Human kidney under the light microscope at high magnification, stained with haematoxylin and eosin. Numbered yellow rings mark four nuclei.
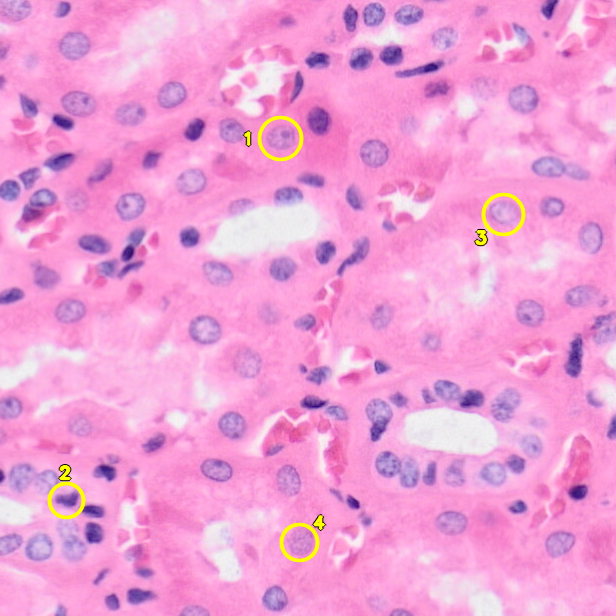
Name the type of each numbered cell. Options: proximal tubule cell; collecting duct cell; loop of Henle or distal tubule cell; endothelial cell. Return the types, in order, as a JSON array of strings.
["proximal tubule cell", "collecting duct cell", "proximal tubule cell", "proximal tubule cell"]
